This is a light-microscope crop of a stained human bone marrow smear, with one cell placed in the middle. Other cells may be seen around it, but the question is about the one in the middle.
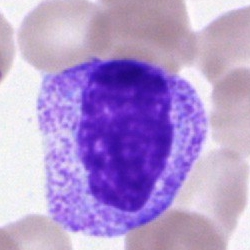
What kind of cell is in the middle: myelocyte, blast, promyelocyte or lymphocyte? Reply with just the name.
myelocyte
